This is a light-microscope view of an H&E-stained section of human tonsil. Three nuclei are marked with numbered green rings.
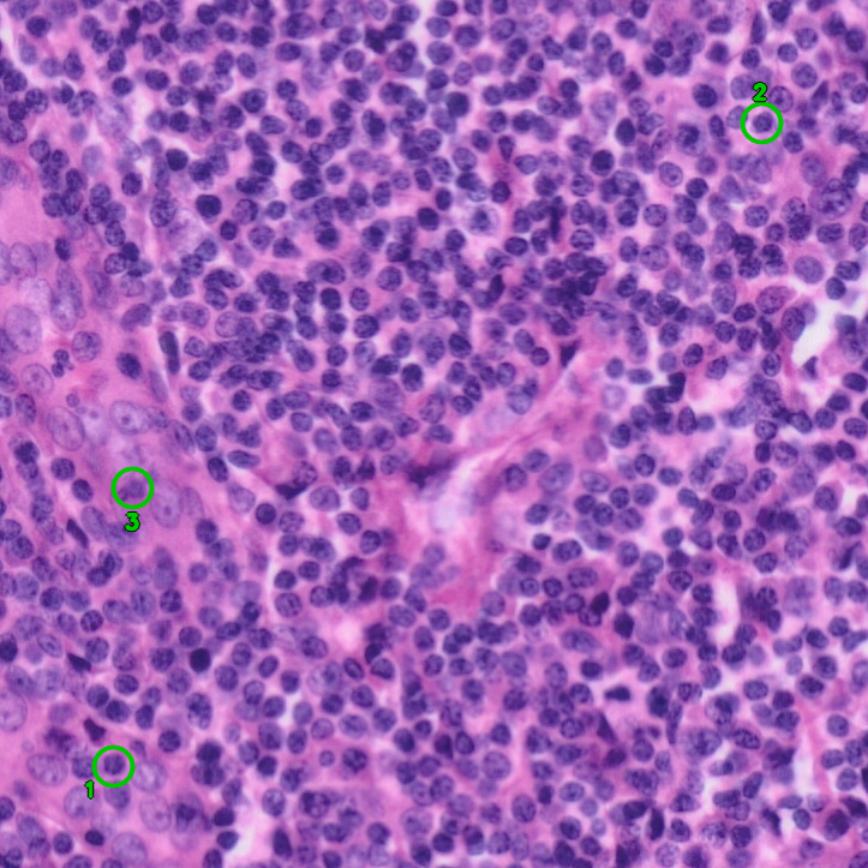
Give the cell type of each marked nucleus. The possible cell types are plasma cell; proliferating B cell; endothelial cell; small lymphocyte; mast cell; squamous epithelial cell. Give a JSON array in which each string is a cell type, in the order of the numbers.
["endothelial cell", "small lymphocyte", "endothelial cell"]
